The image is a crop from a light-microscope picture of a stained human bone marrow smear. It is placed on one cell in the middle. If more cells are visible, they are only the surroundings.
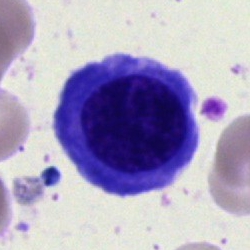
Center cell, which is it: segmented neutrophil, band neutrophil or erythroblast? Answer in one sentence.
The cell that lies at the centre of the crop is an erythroblast.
